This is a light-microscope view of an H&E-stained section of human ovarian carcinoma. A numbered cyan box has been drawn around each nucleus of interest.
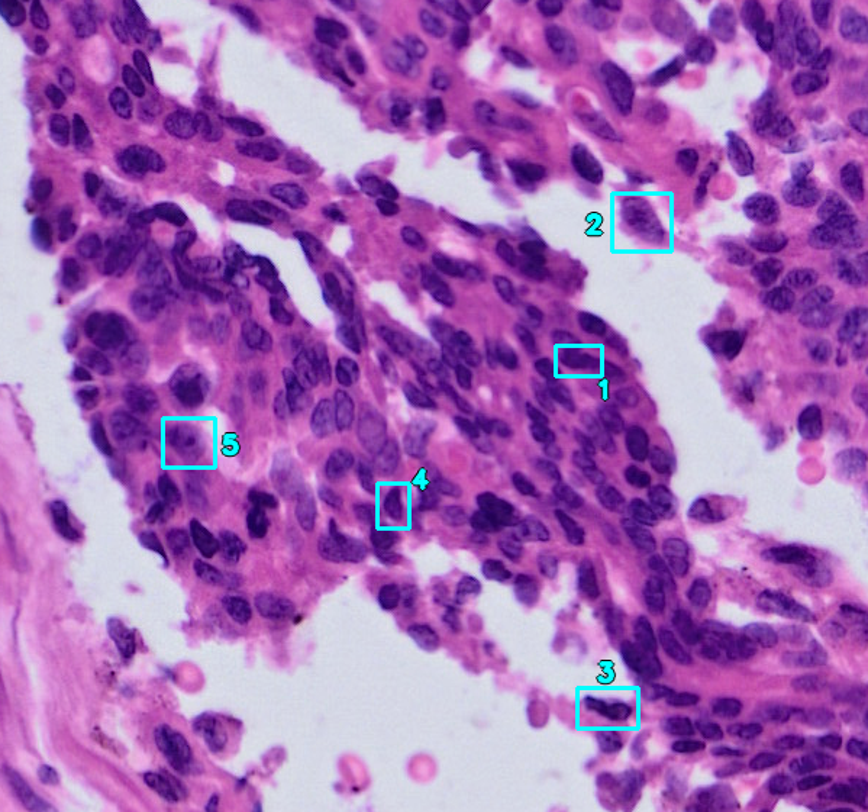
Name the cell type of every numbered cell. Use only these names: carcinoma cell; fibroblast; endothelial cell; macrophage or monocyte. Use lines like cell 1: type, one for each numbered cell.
cell 1: carcinoma cell
cell 2: macrophage or monocyte
cell 3: macrophage or monocyte
cell 4: carcinoma cell
cell 5: carcinoma cell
